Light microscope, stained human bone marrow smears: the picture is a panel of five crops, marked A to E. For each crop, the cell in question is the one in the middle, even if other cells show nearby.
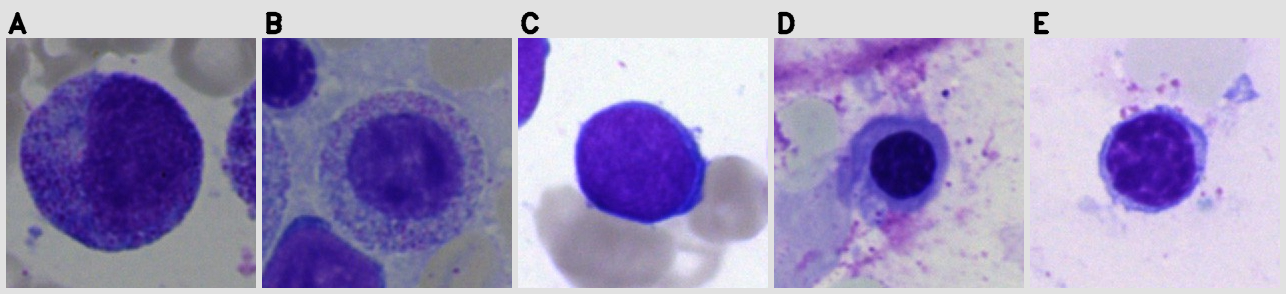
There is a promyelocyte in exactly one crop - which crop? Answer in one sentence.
The crop marked A is the one that shows a promyelocyte.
